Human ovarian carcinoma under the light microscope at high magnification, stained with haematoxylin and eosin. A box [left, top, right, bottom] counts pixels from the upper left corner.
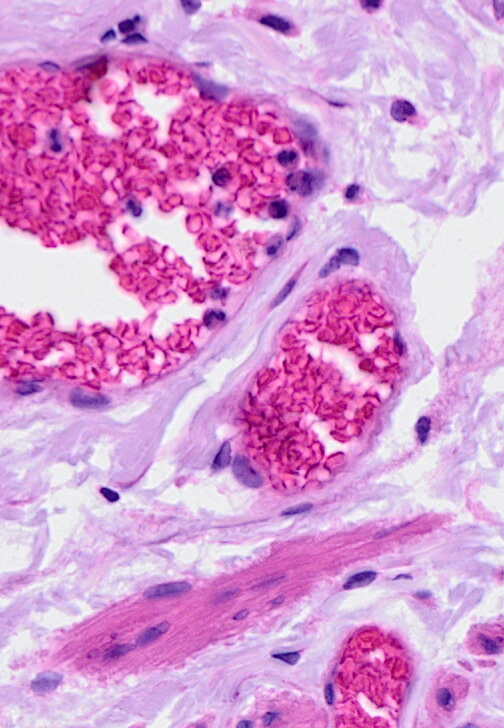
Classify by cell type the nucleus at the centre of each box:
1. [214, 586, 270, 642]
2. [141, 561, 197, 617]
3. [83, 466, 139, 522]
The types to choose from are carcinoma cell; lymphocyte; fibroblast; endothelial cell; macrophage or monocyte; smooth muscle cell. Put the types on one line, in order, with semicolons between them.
smooth muscle cell; smooth muscle cell; lymphocyte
